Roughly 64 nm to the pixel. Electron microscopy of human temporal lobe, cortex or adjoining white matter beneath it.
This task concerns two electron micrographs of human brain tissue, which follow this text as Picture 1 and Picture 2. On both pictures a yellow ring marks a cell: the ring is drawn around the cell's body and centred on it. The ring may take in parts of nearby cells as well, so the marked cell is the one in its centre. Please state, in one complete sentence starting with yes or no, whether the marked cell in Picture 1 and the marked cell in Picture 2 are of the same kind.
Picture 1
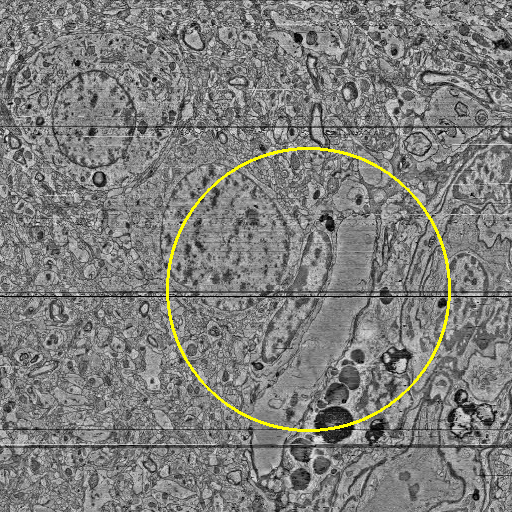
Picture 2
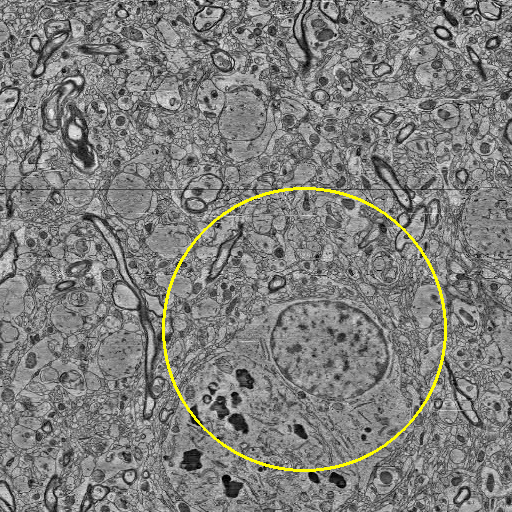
Yes, the marked cells in both pictures are of the same kind.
